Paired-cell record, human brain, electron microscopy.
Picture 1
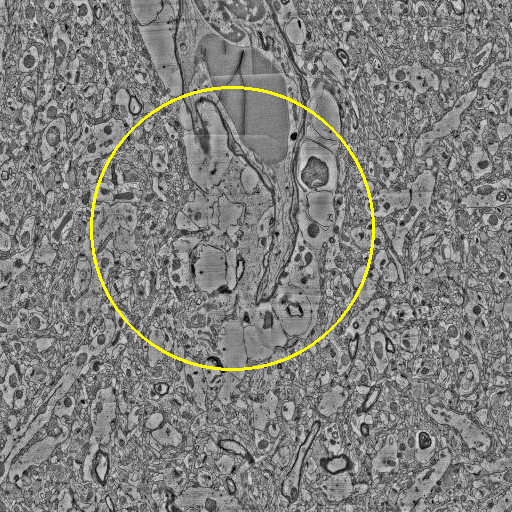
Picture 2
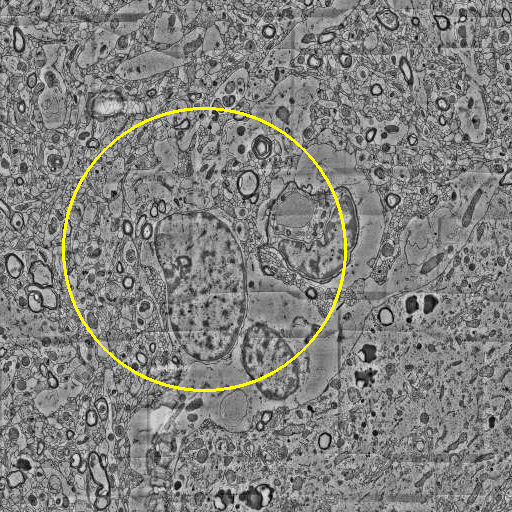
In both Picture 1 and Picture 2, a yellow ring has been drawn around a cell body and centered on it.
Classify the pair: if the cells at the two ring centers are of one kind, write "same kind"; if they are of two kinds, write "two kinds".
same kind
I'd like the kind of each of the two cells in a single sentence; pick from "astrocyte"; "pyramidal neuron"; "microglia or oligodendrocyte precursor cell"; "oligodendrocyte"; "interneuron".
The first and the second cell are each a microglial cell or oligodendrocyte precursor cell.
